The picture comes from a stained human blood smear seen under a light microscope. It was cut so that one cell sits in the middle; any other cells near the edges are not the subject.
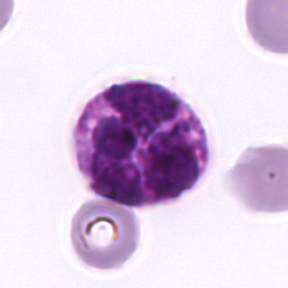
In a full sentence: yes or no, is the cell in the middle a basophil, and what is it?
Yes, in the middle of the crop is a basophil.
